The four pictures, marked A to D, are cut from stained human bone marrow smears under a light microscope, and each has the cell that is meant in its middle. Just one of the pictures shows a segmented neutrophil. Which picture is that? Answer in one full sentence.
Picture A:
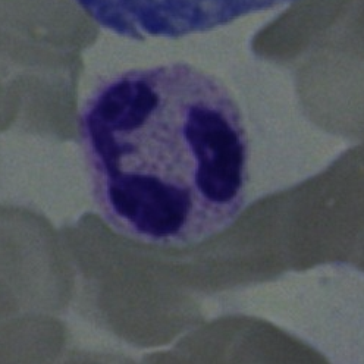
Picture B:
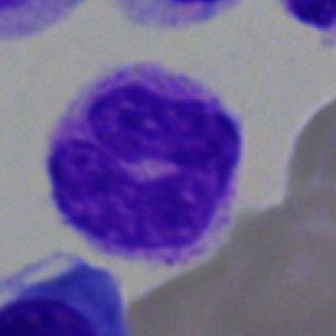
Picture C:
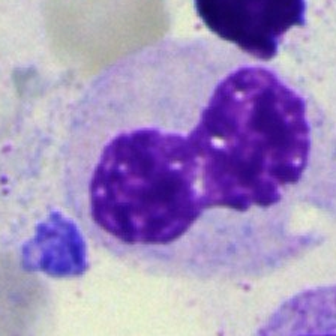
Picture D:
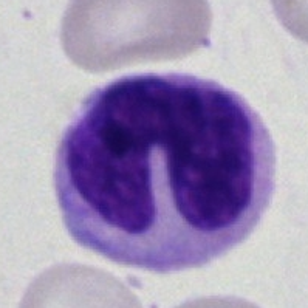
It is picture A that shows the segmented neutrophil.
